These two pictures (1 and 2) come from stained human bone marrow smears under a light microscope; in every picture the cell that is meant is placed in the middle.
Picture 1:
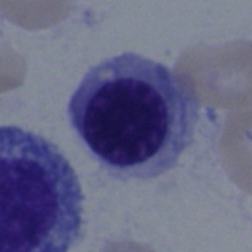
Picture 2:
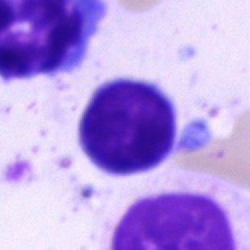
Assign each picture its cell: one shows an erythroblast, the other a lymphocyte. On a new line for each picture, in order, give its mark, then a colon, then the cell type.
1: erythroblast
2: lymphocyte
